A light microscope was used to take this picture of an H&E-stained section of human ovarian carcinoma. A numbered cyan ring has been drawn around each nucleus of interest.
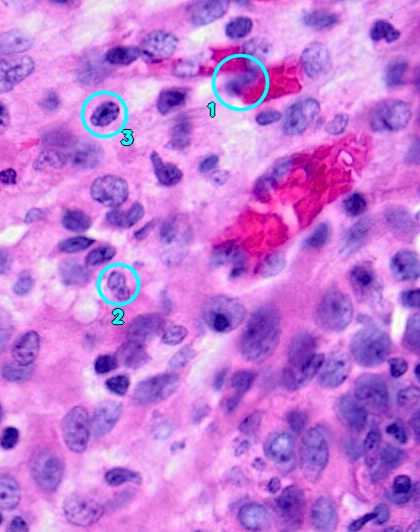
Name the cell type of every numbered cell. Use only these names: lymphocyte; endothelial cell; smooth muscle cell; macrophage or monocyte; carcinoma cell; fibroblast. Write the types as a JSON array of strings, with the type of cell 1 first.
["endothelial cell", "macrophage or monocyte", "lymphocyte"]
